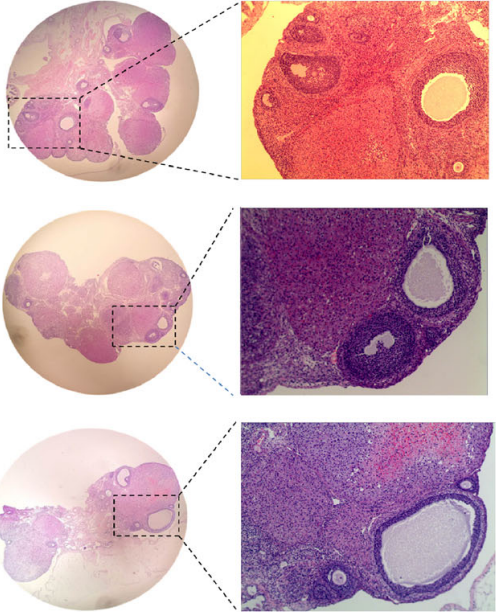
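These are sections of ovary stained pink and purple, with follicles at several stages lying in a dense, cellular stroma. The larger follicles have a wide, pale, fluid-filled cavity surrounded by a thick wall of many layers of small, darkly stained cells. Smaller follicles appear as compact rings of purple cells, some with a central oocyte. The stroma between the follicles is made of closely packed cells with dark nuclei, and the low-power views show the whole ovary as a lobulated organ. The tissue looks orderly, with no obvious breakdown of structure.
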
